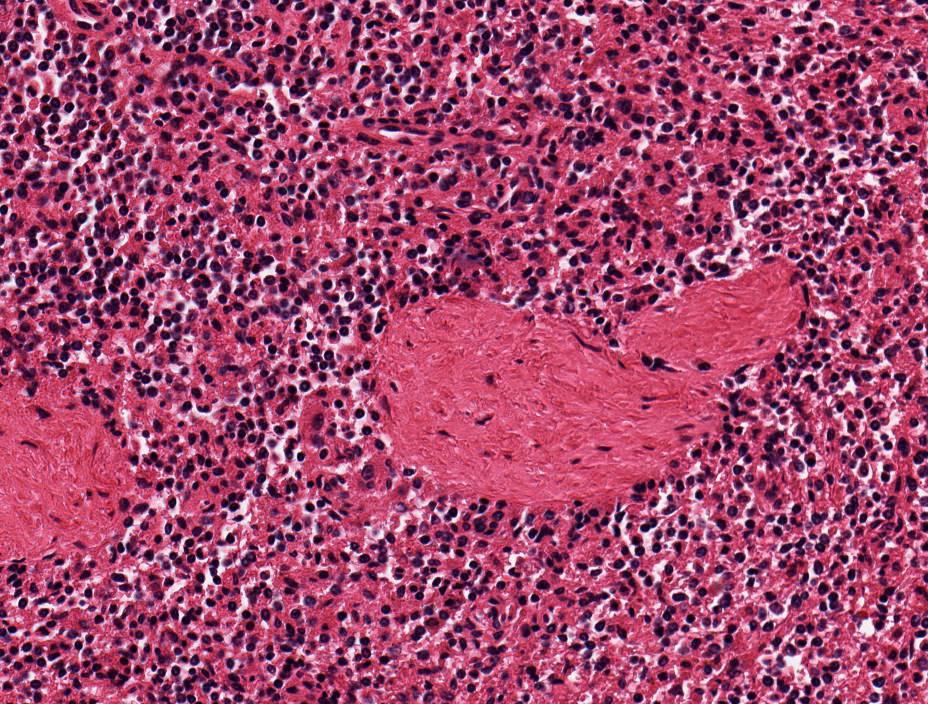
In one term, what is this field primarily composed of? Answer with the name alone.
red pulp of the spleen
